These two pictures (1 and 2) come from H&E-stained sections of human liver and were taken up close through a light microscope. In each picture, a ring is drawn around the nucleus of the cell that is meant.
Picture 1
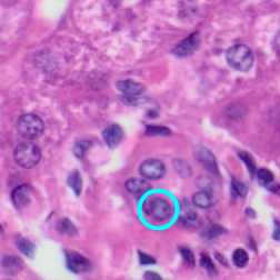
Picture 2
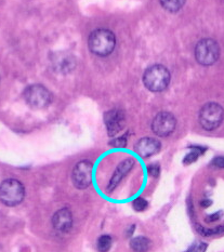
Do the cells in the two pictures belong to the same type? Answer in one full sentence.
Yes; the cells in both pictures are cholangiocytes.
